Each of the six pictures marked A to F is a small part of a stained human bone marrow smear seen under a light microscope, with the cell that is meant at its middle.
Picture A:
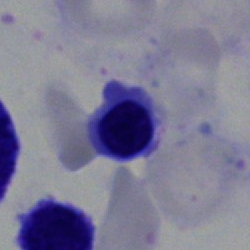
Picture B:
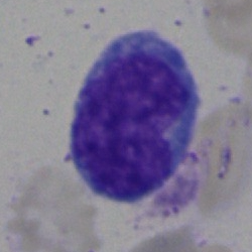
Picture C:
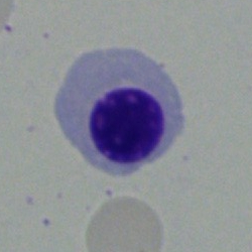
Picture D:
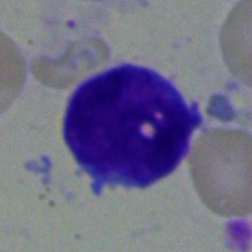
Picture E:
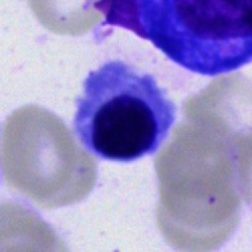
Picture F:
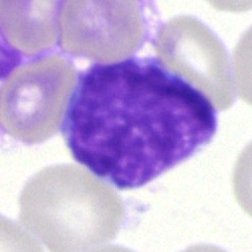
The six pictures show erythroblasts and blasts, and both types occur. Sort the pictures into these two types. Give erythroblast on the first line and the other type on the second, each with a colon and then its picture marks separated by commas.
erythroblast: A, C, E
blast: B, D, F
